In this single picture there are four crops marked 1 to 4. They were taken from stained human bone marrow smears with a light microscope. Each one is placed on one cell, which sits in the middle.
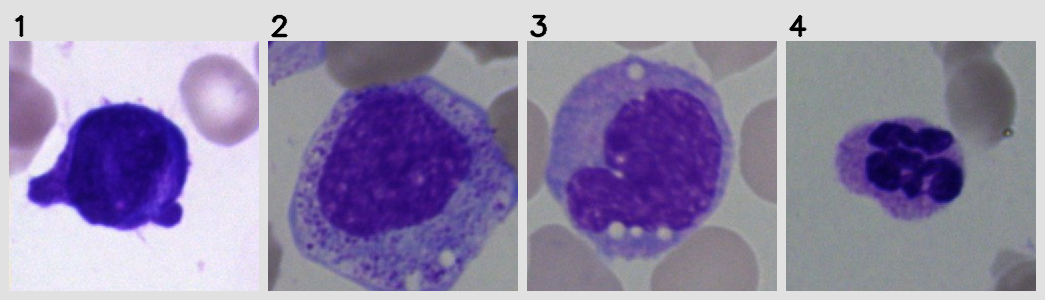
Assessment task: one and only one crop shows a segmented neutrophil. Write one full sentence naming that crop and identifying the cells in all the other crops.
In this set, crop 4 shows a segmented neutrophil, whereas crop 1 is a blast, crop 2 is a myelocyte and crop 3 is a monocyte.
